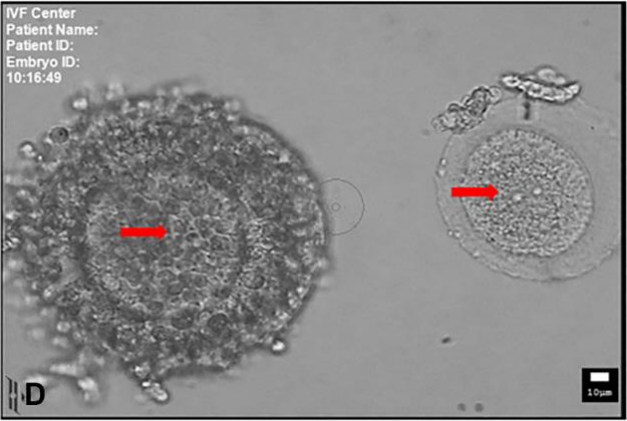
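Two oocytes are seen: on the left a large round oocyte wrapped in a thick, tightly packed layer of small cumulus cells, and on the right a smaller-looking oocyte free of surrounding cells. The right oocyte shows a finely granular cytoplasm bounded by a clear zone and a thin outer coat, with only a small clump of cells attached at its top. These are immature oocytes, one with compact cumulus and one denuded.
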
